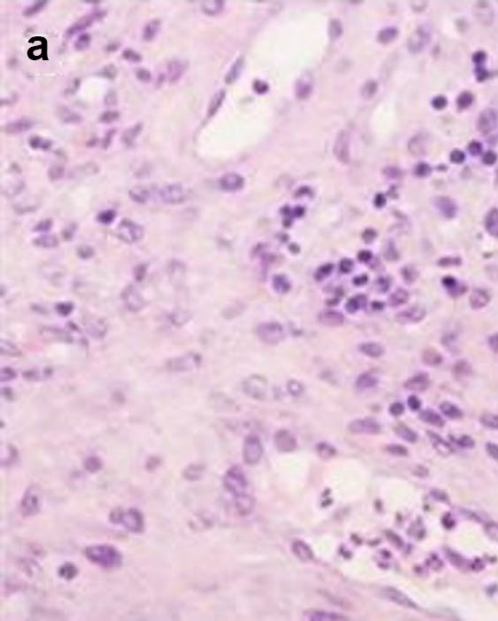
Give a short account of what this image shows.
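Lesional tissue crowded with inflammatory cells of more than one kind, set in pale pink, loose stroma. Several clear, thin-walled spaces, likely small vessels, cross the field; some contain or are edged by small dark-nucleated cells. The stroma between cells is faintly stained and fibrillar, with no organised layering or normal architecture preserved.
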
